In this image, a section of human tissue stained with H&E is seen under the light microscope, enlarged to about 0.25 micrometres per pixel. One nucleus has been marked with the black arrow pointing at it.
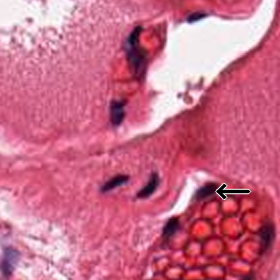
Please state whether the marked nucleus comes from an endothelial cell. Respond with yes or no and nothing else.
yes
